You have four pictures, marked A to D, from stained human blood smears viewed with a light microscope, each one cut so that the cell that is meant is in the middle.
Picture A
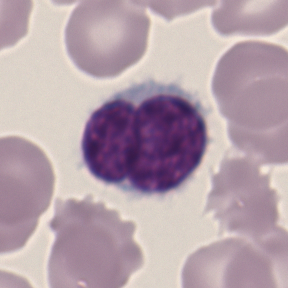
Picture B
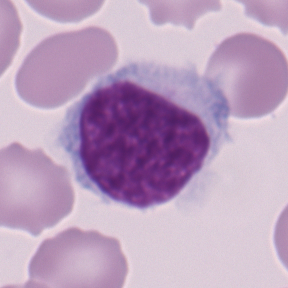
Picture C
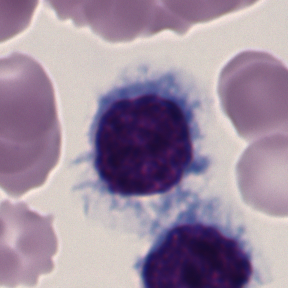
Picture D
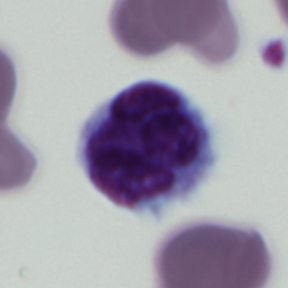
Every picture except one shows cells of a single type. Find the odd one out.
D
